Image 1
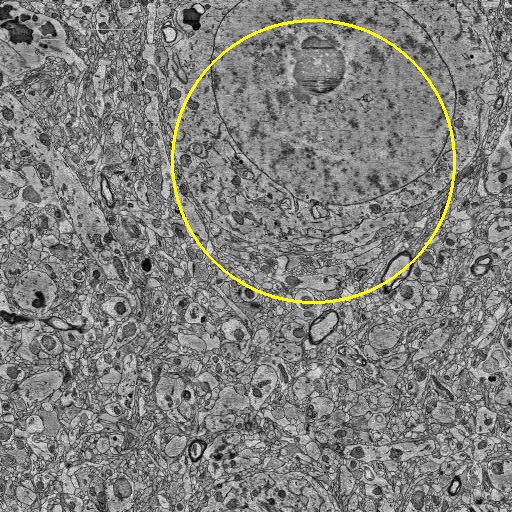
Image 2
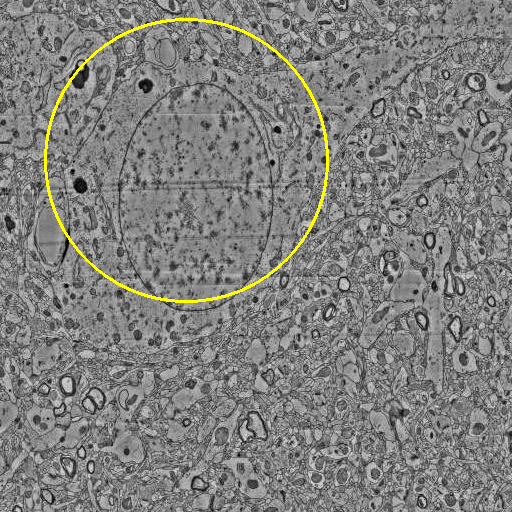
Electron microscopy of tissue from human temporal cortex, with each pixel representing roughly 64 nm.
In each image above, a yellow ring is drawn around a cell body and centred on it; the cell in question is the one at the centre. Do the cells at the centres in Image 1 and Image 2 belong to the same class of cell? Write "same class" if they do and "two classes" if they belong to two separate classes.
same class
